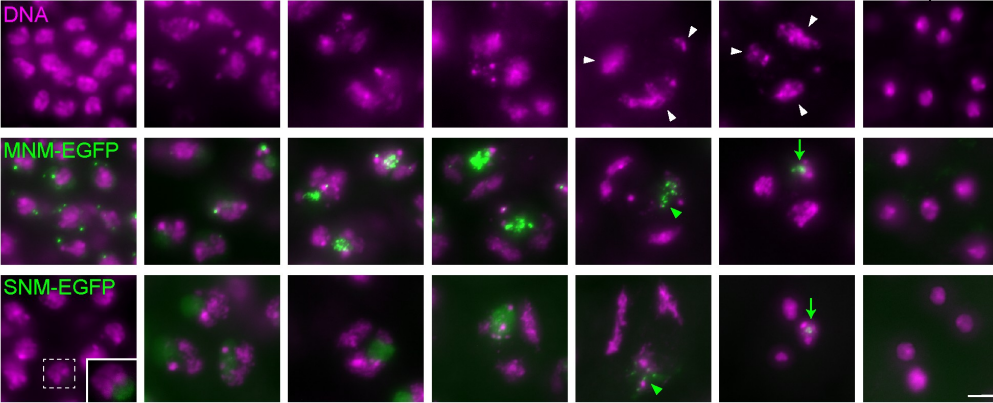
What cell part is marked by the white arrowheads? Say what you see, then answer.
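The arrowheads point to separate compact clumps of DNA within one nucleus. Each nucleus so marked holds a few distinct DNA masses rather than an even stain. That points to this answer: three major chromosome territories.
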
